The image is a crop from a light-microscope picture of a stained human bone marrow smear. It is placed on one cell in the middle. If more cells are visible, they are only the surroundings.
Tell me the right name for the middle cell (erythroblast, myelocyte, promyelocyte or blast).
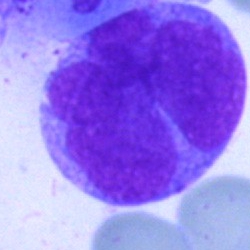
blast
